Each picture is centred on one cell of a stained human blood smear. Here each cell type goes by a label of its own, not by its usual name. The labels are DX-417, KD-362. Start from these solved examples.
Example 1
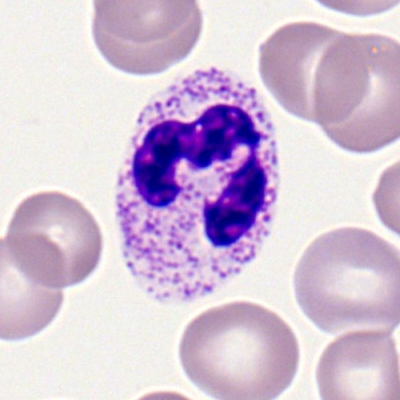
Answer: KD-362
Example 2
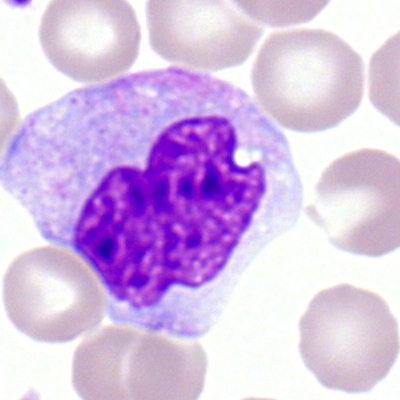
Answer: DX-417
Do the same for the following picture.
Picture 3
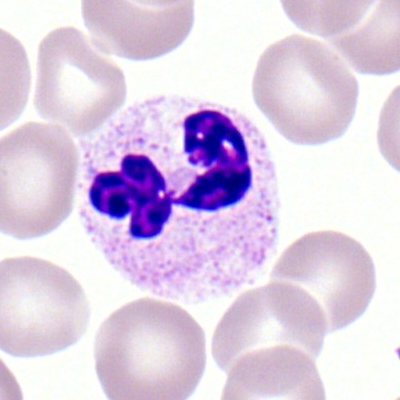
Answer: KD-362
